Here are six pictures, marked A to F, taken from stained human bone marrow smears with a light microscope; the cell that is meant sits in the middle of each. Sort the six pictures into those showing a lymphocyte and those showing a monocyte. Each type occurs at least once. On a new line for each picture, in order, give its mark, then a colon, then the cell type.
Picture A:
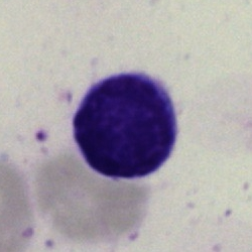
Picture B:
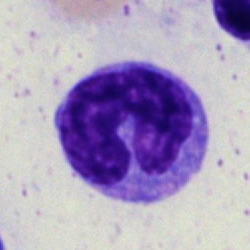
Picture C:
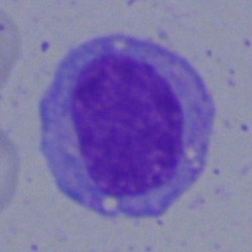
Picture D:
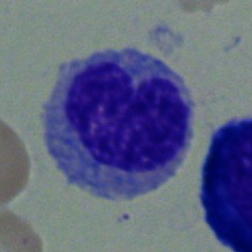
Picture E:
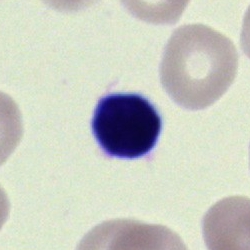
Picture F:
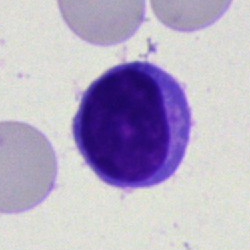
A: lymphocyte
B: monocyte
C: monocyte
D: monocyte
E: lymphocyte
F: lymphocyte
